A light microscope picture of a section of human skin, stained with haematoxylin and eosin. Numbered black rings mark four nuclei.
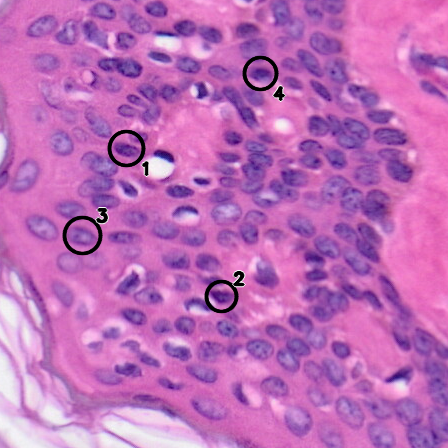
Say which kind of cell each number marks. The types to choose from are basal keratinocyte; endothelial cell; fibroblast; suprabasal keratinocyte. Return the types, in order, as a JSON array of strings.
["basal keratinocyte", "basal keratinocyte", "suprabasal keratinocyte", "basal keratinocyte"]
